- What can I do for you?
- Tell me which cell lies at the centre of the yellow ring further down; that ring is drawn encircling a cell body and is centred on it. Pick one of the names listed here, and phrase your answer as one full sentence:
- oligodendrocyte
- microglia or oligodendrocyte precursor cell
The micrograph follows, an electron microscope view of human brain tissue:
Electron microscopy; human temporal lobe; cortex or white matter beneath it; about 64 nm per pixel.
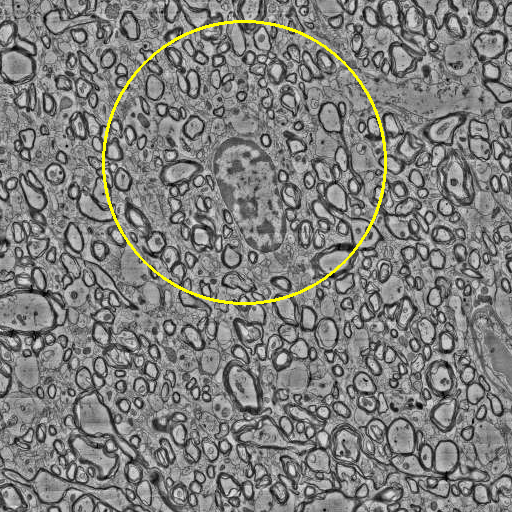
The cell whose body lies at the centre of the yellow ring is a microglial cell or oligodendrocyte precursor cell.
